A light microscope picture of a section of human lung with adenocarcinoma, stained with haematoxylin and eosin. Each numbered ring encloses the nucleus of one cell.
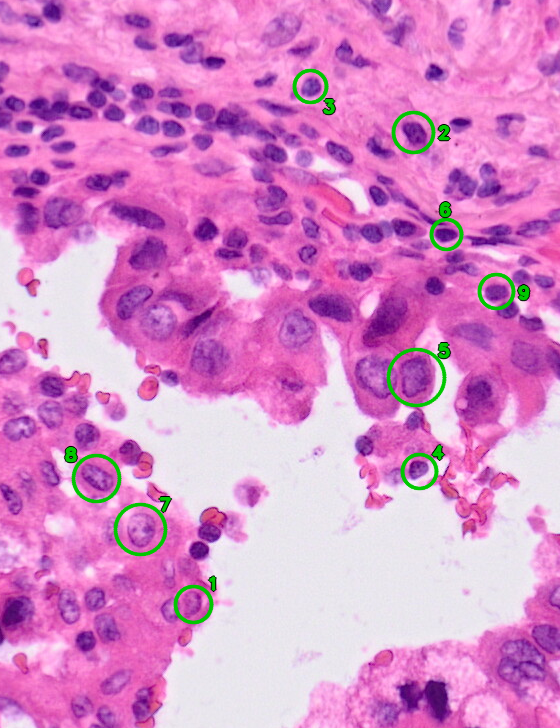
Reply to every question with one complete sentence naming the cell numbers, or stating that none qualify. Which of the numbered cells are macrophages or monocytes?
The cells that have been numbered 1, 7 and 8 are macrophages or monocytes.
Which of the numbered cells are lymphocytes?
The cells referred to by numbers 3, 4, 6 and 9 are lymphocytes.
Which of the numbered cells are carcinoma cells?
Only the cell marked 5 is a carcinoma cell.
